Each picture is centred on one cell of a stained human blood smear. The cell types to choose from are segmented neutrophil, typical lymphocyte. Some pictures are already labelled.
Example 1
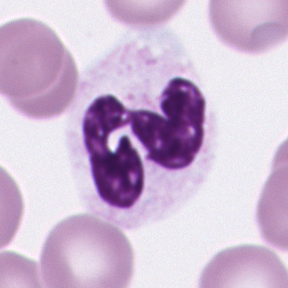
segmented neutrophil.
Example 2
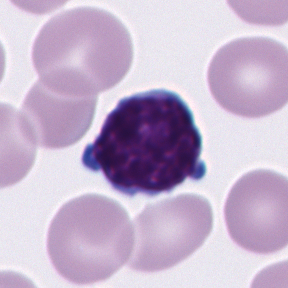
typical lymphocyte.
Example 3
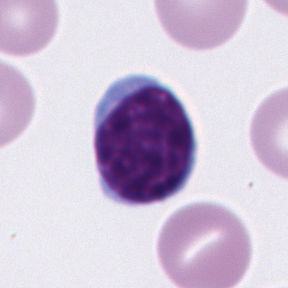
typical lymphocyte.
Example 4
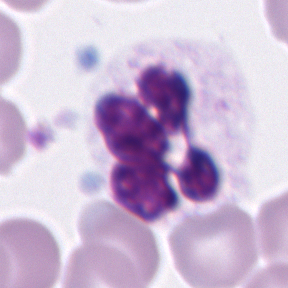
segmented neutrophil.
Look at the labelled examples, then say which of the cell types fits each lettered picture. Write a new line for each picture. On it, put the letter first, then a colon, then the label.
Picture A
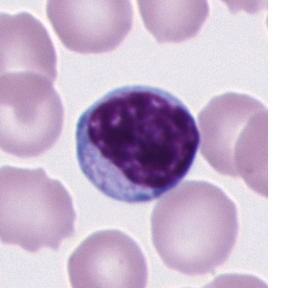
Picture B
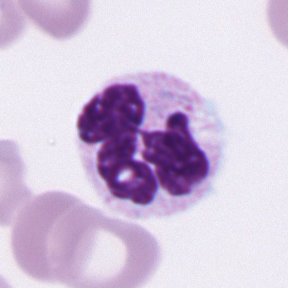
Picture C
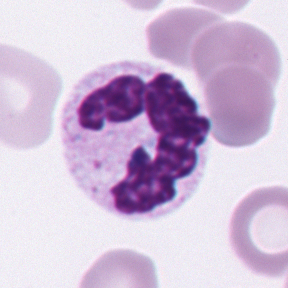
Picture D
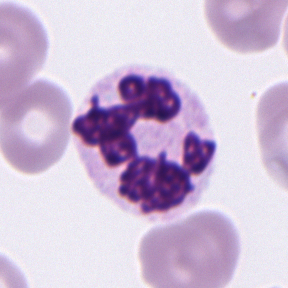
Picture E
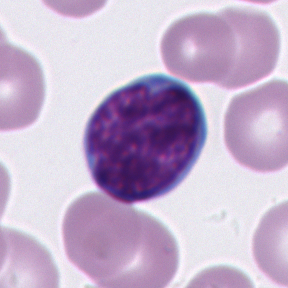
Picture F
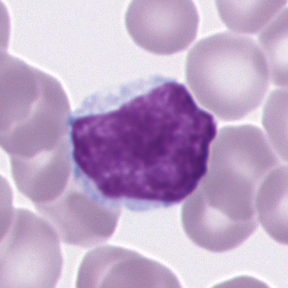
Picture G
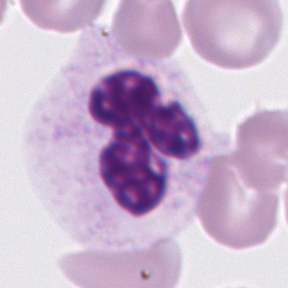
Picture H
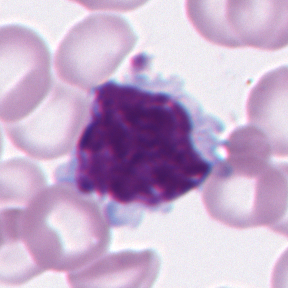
A: typical lymphocyte.
B: segmented neutrophil.
C: segmented neutrophil.
D: segmented neutrophil.
E: typical lymphocyte.
F: typical lymphocyte.
G: segmented neutrophil.
H: typical lymphocyte.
